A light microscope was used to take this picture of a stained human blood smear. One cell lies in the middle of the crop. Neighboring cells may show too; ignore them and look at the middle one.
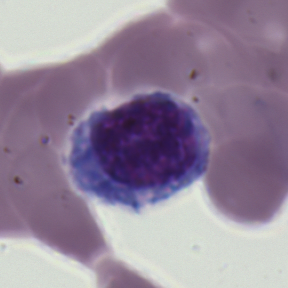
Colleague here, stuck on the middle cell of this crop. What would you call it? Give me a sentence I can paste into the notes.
The cell in the middle of this crop is a plasma cell.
